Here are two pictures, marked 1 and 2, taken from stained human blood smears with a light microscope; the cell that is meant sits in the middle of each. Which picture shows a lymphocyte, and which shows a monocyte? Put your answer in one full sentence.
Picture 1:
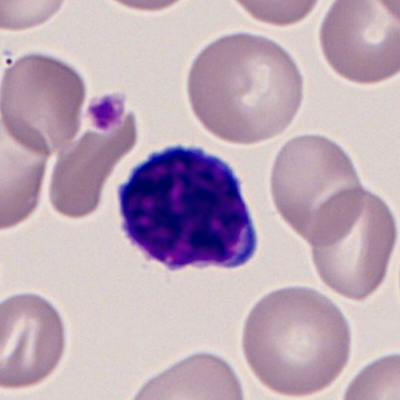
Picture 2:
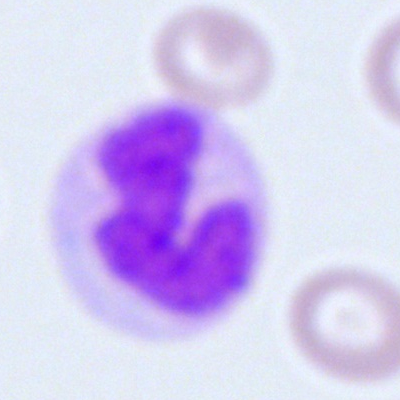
The cell in picture 1 is a lymphocyte, and the one in picture 2 is a monocyte.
